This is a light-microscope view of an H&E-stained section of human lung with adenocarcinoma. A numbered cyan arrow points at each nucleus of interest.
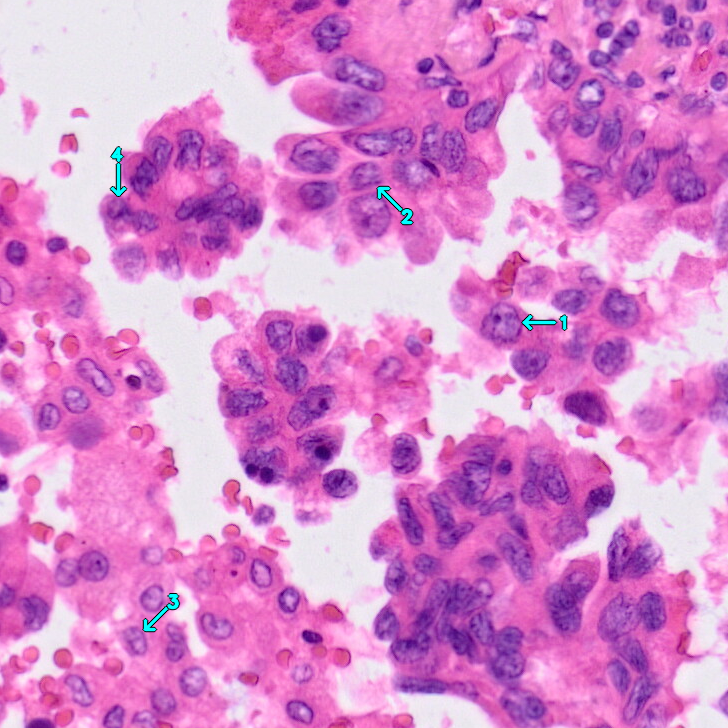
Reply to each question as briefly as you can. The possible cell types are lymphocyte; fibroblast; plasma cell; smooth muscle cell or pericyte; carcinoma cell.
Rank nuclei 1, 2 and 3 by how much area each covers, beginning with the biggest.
1, 2, 3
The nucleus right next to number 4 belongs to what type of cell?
carcinoma cell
